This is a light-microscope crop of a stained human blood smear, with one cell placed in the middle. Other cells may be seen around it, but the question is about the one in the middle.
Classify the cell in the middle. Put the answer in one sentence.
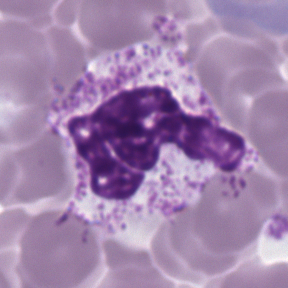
The cell in the exact centre of the crop is a segmented neutrophil.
